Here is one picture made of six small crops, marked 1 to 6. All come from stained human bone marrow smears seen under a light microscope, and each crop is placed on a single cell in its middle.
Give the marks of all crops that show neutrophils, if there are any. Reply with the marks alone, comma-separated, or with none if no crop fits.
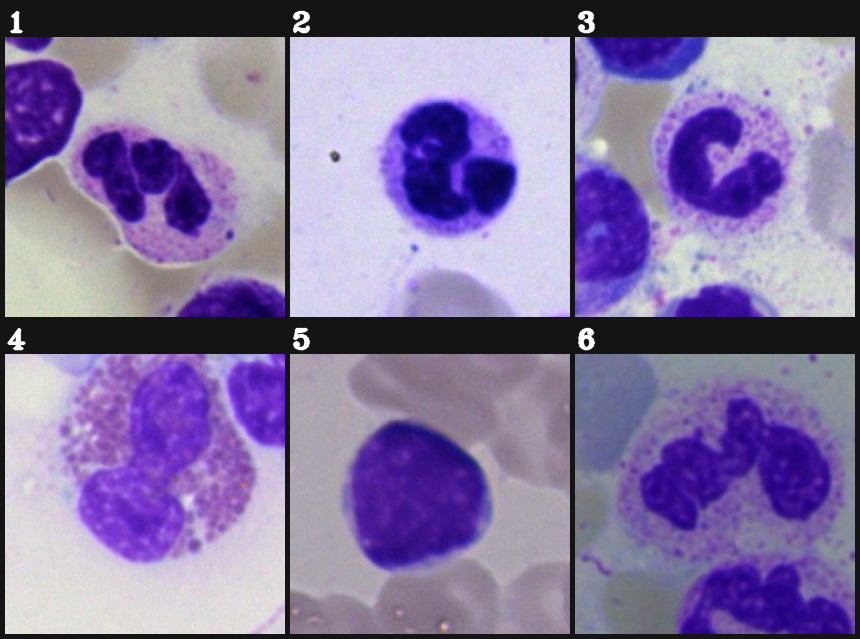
1, 2, 3, 6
